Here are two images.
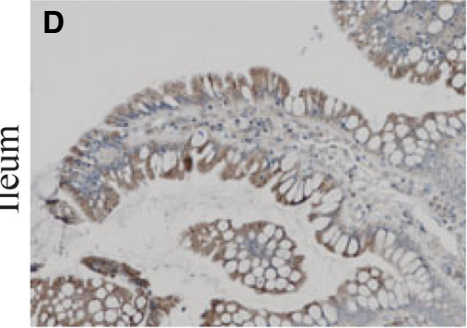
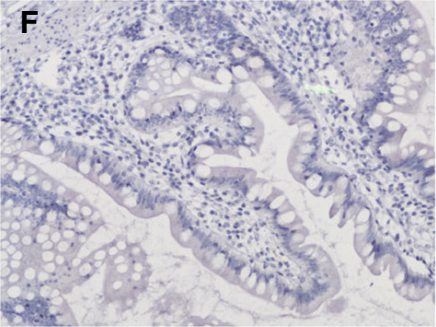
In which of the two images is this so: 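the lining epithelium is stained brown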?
The first image.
